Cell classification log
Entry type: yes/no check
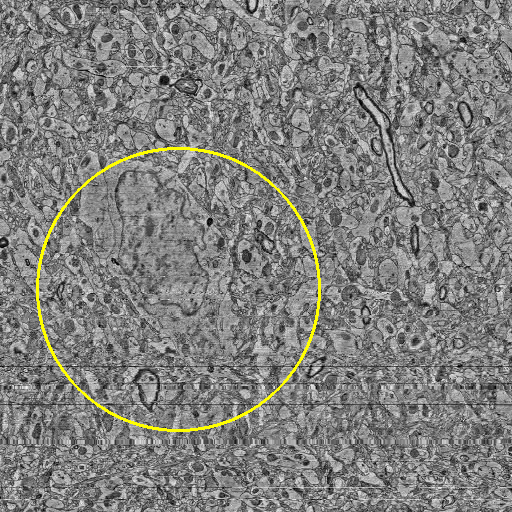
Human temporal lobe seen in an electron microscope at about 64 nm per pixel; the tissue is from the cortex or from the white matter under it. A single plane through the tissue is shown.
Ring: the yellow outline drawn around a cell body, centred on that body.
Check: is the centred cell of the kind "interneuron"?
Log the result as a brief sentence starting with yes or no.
Yes, the cell is of that kind.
